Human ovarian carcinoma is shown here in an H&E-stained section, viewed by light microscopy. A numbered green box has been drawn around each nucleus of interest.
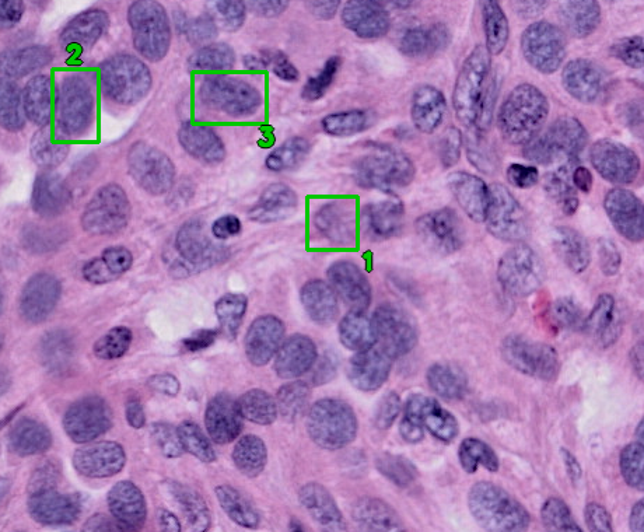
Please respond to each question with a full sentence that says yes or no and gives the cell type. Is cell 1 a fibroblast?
Yes, in the section, number 1 is a fibroblast.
